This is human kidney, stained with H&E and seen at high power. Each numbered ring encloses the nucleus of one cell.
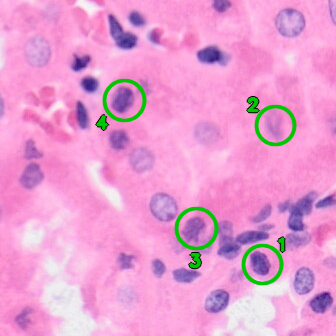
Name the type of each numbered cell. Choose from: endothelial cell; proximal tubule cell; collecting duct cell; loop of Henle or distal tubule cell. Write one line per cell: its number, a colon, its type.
1: loop of Henle or distal tubule cell
2: proximal tubule cell
3: proximal tubule cell
4: proximal tubule cell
